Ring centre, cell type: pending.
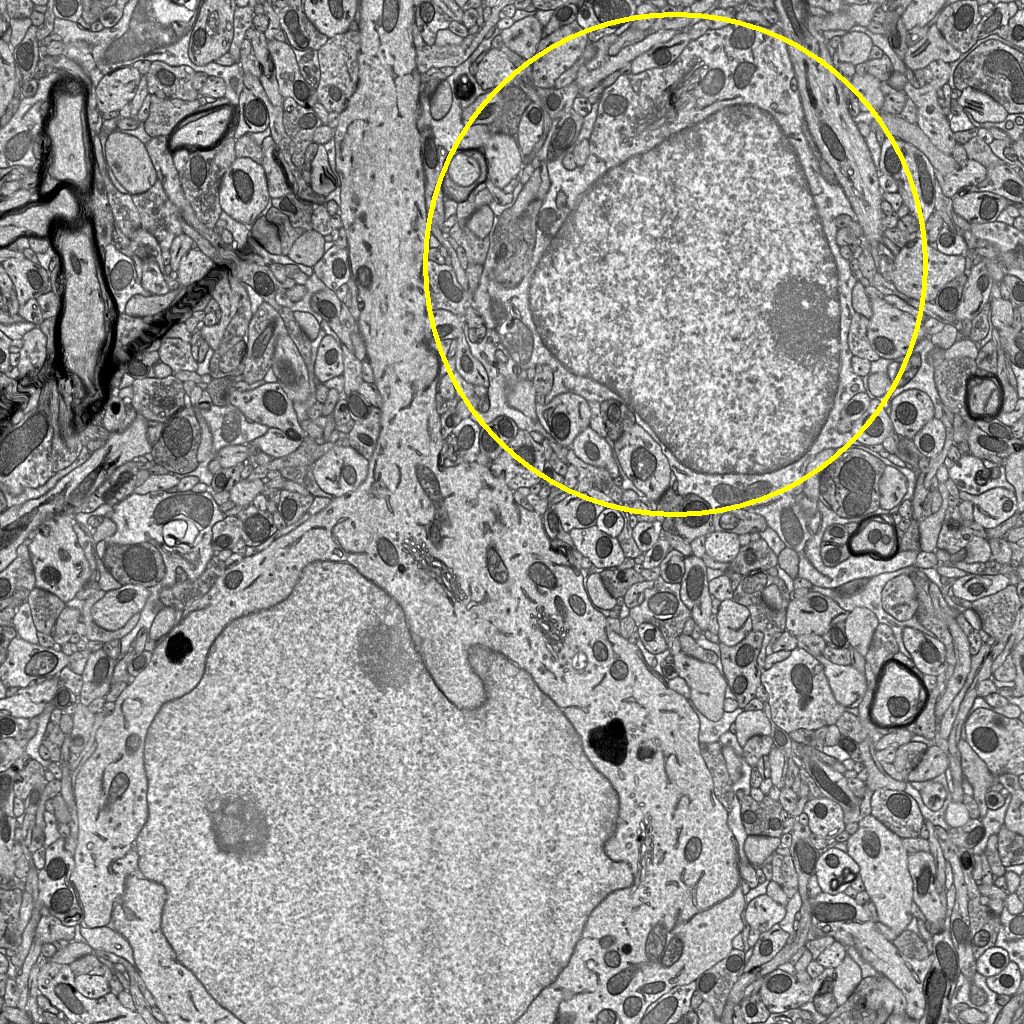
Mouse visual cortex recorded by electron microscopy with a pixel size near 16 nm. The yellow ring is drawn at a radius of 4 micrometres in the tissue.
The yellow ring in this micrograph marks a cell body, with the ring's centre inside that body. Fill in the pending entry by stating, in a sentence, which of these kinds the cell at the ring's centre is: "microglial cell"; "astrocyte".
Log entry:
The cell at the ring's centre is recorded as an astrocyte.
